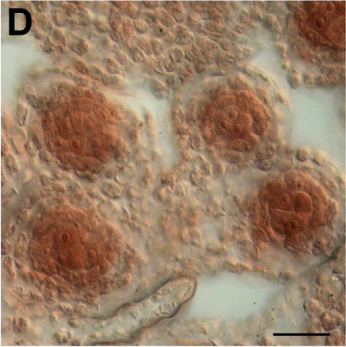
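Transverse section of anther locules, each containing a central cluster of large rounded pollen mother cells surrounded by a ring of tapetum and paler outer wall layers. The pollen mother cells are tightly packed, with large round nuclei, and the whole central mass is stained deep brown. The tapetum, a thin layer lining each cluster, is also brown-tinged. The surrounding connective tissue and wall cells are smaller, irregular and lightly coloured.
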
